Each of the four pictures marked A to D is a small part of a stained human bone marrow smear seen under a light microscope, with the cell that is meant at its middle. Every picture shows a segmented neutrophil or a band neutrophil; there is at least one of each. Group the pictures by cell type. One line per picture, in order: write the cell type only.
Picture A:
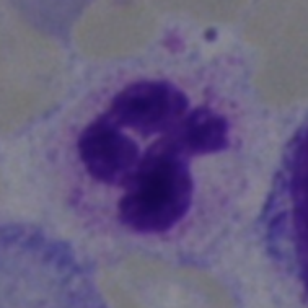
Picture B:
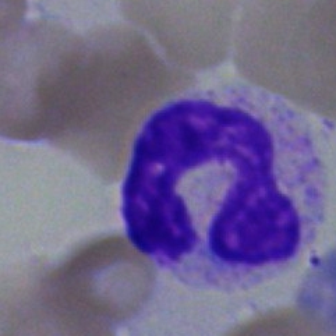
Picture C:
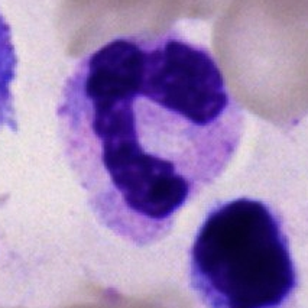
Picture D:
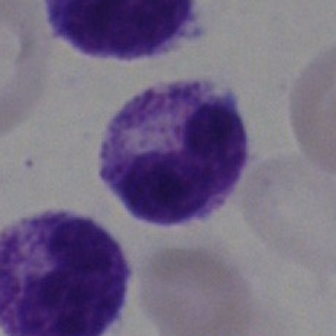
segmented neutrophil
segmented neutrophil
segmented neutrophil
band neutrophil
